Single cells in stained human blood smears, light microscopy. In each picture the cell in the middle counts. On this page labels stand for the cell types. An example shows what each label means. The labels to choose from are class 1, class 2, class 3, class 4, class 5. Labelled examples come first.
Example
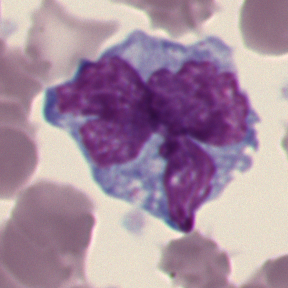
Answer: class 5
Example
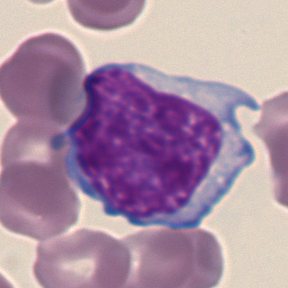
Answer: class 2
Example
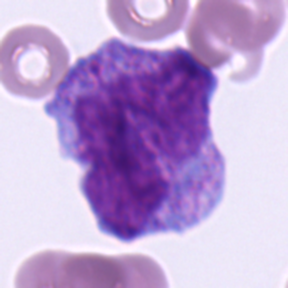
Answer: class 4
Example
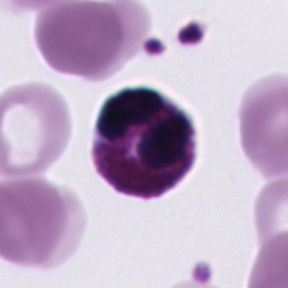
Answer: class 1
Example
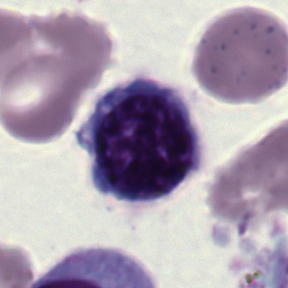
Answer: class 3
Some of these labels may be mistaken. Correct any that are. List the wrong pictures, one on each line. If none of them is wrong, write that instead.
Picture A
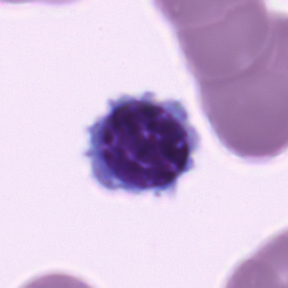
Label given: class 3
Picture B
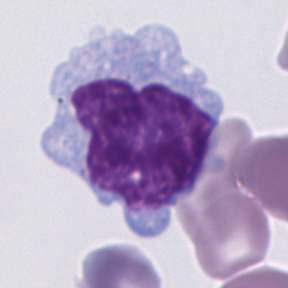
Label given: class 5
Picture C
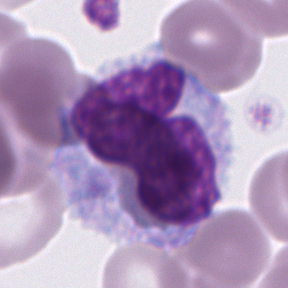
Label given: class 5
Nothing to fix; every label fits.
